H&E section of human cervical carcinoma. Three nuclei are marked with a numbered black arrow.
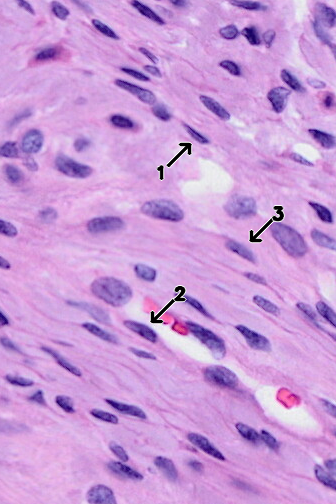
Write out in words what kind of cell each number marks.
Cell 1 is a fibroblast, cell 2 is an endothelial cell and cell 3 is a fibroblast.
